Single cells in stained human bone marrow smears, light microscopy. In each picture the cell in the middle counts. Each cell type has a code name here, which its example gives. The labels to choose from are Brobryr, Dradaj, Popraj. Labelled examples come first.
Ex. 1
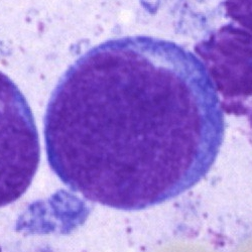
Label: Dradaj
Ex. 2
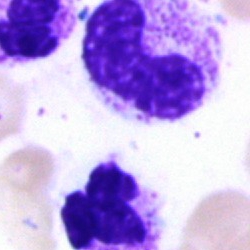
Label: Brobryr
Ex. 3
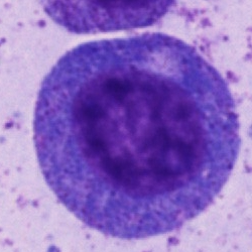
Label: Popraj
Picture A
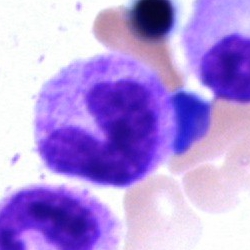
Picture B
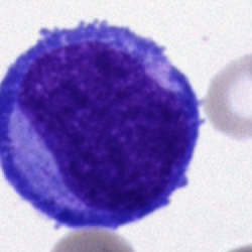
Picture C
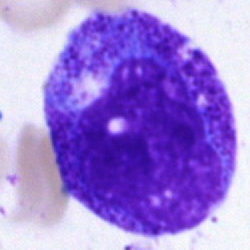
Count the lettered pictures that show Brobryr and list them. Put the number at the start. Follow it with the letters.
1, namely A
